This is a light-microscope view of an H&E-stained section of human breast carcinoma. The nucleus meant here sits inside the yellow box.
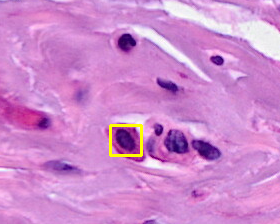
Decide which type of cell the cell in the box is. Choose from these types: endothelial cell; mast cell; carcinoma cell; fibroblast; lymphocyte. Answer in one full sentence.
As a matter of cell type, the cell in the box is a mast cell.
